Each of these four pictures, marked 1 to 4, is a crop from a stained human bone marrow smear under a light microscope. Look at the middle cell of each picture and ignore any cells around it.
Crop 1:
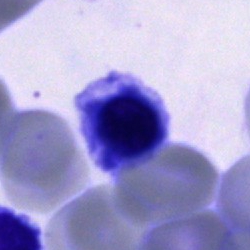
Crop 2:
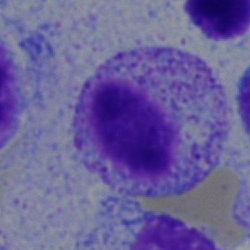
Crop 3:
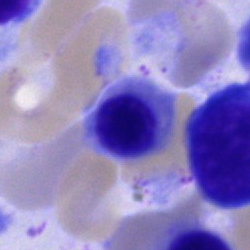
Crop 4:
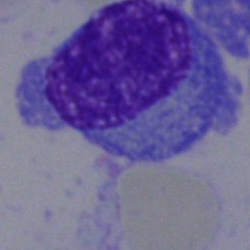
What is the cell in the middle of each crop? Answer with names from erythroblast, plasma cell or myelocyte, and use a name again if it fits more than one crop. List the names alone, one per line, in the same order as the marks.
erythroblast
myelocyte
erythroblast
plasma cell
